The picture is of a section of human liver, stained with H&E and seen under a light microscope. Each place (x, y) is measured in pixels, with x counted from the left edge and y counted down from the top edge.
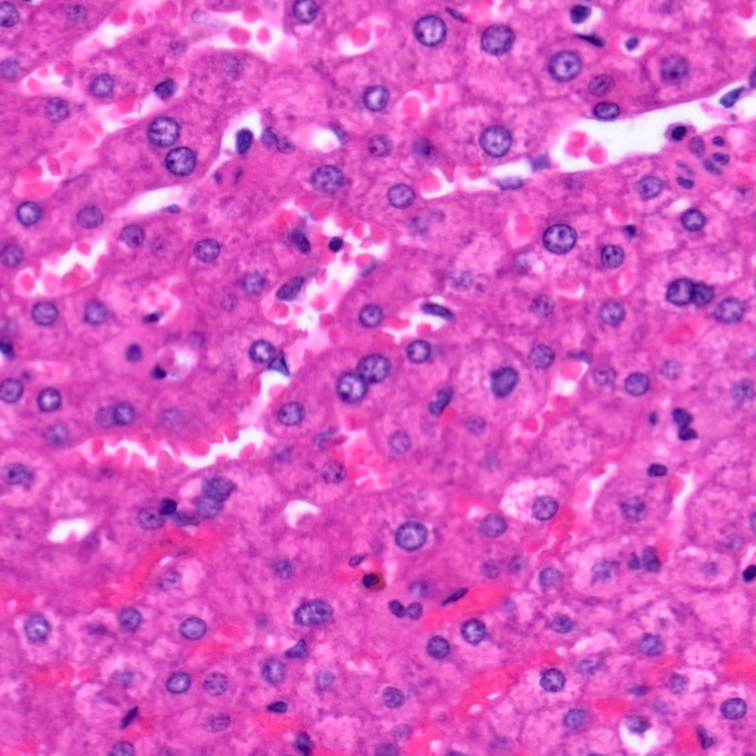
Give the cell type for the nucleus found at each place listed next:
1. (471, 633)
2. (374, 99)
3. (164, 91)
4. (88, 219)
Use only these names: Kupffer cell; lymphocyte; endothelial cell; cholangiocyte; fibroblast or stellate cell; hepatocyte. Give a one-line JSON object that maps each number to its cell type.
{"1": "hepatocyte", "2": "hepatocyte", "3": "endothelial cell", "4": "hepatocyte"}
